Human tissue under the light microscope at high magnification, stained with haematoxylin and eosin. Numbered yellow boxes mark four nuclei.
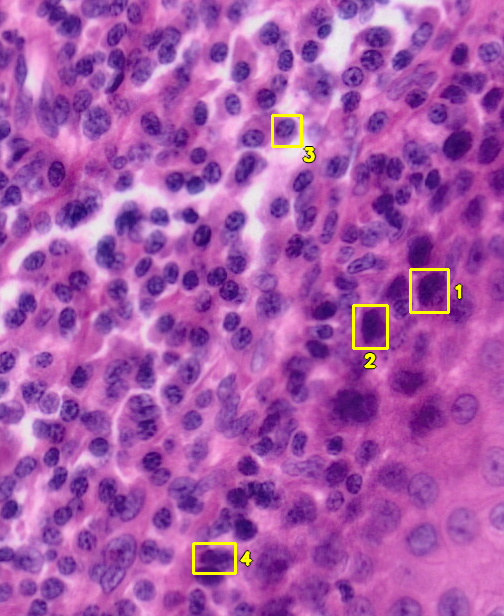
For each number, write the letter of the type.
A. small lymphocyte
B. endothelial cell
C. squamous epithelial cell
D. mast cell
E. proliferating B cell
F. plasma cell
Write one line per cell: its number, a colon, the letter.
1: C
2: C
3: F
4: C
